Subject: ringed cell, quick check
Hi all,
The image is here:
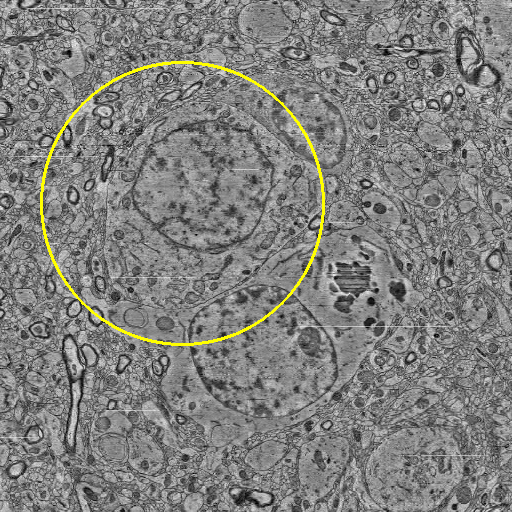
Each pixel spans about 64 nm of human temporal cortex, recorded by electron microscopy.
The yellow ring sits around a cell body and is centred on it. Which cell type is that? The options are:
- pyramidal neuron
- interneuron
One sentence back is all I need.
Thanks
That ringed cell is a pyramidal neuron.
